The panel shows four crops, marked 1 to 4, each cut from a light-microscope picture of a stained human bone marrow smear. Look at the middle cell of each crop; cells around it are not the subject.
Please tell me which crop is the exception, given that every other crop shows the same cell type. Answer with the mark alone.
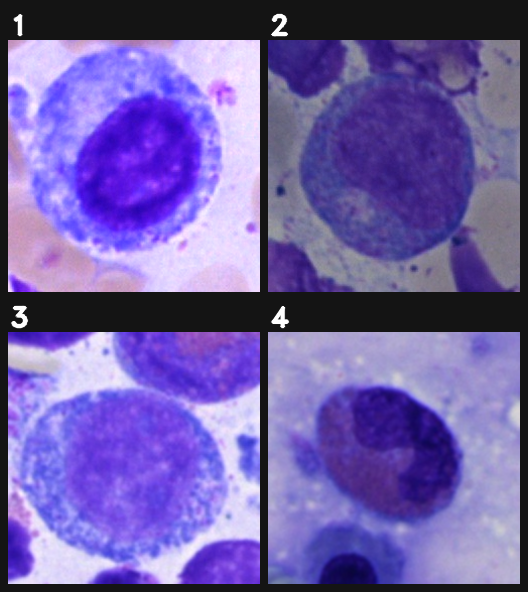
4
